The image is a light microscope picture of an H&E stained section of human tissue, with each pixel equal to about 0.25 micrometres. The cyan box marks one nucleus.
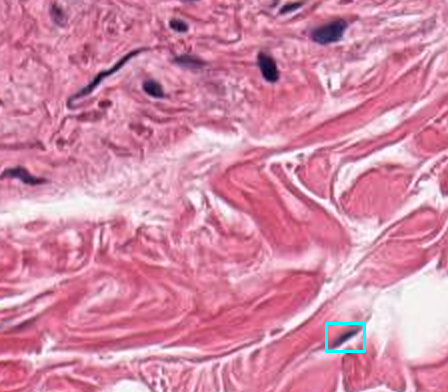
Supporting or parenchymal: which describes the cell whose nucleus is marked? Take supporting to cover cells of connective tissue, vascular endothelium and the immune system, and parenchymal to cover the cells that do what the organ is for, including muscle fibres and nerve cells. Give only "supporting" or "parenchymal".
supporting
